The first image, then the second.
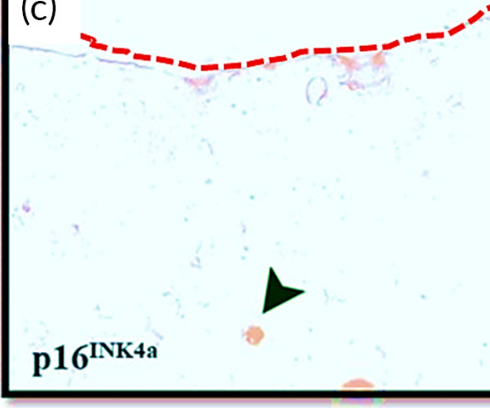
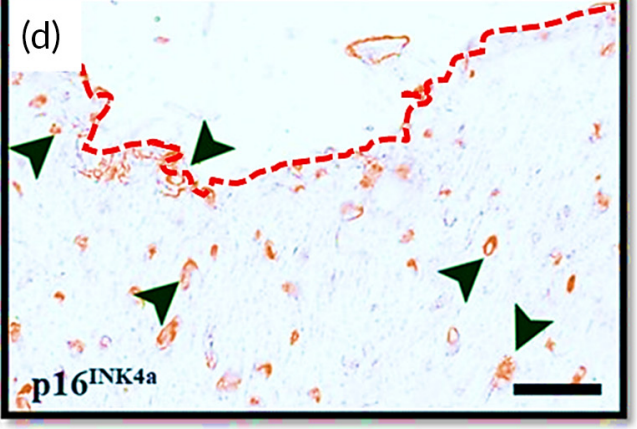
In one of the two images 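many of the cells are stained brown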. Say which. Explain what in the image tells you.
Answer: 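Second image: numerous brown-stained cells are scattered through the matrix and along the surface. The answer: the second image.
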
